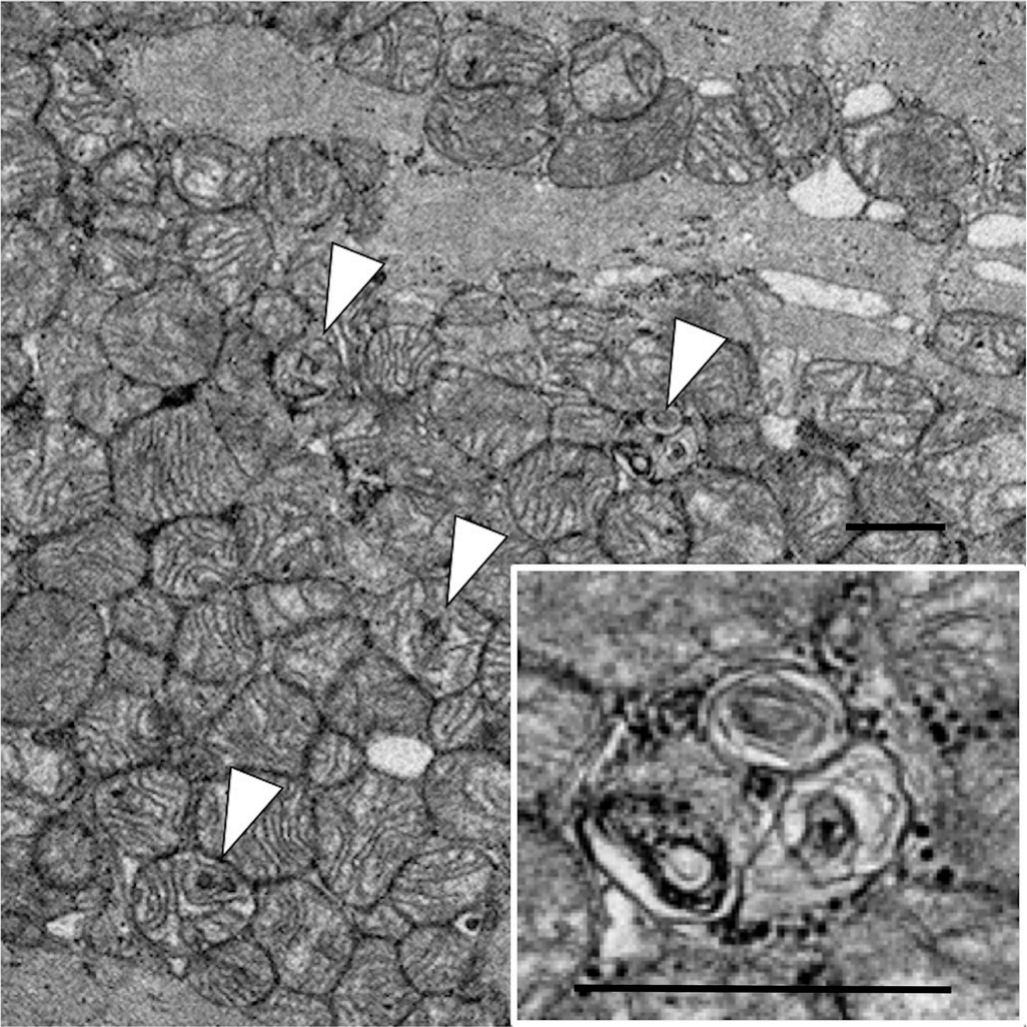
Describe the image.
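Cardiomyocyte cytoplasm packed with closely apposed round and oval mitochondria with dense parallel cristae, alongside bundles of myofilaments running across the upper part of the field. Scattered mitochondria instead contain concentric, whorled membrane rings replacing the cristae, best seen in the enlarged inset as layered, onion-like profiles. A few small pale empty spaces lie between the mitochondria and myofilaments.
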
